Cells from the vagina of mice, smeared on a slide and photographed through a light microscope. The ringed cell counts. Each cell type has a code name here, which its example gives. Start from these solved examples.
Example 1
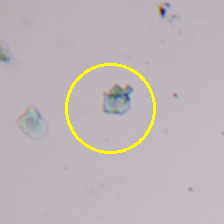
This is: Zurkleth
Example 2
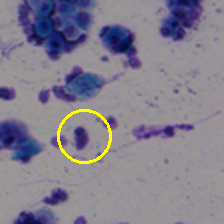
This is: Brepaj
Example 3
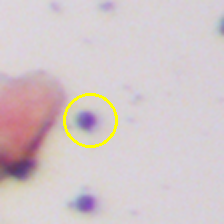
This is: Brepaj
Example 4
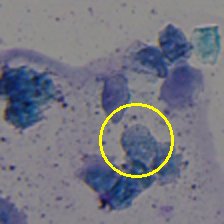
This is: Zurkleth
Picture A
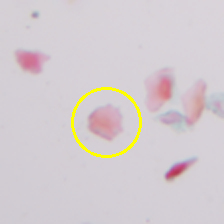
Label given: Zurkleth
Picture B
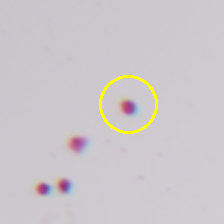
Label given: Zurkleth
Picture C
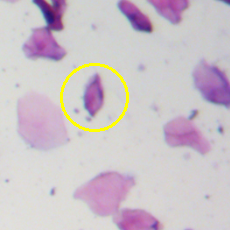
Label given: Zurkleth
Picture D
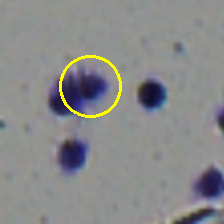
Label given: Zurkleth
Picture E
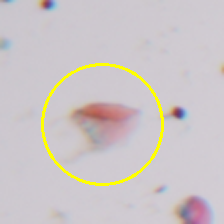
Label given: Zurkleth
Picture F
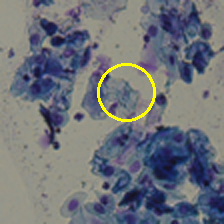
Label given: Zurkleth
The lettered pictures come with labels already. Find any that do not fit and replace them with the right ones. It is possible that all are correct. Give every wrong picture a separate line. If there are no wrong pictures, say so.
B should be Brepaj, not Zurkleth
D should be Brepaj, not Zurkleth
